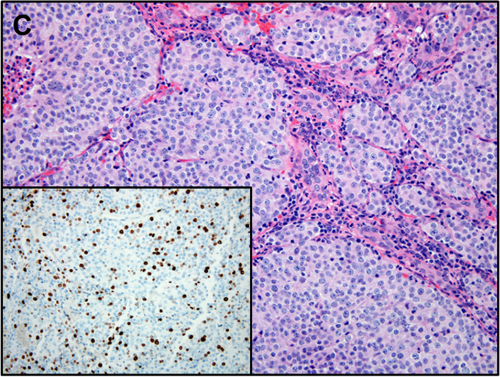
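Tumor cells are arranged in rounded nests and nodules separated by thin fibrovascular septa. The tumor cells have moderate amounts of pale pink to lilac cytoplasm and round nuclei with clumped chromatin, some showing visible nucleoli. The septa between the nests contain many small dark round cells resembling lymphocytes and thin pink connective tissue. In the inset, scattered tumor nuclei are stained brown while most nuclei remain blue.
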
